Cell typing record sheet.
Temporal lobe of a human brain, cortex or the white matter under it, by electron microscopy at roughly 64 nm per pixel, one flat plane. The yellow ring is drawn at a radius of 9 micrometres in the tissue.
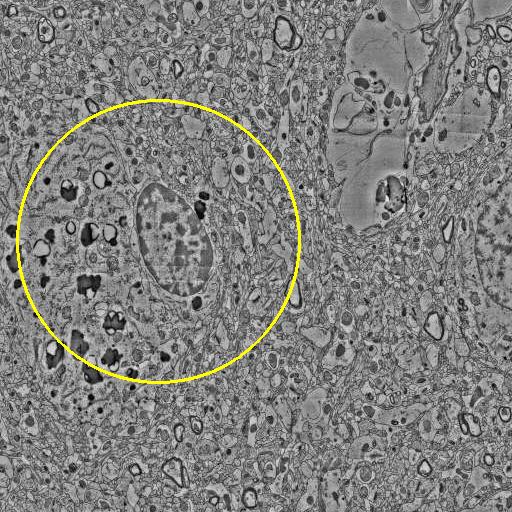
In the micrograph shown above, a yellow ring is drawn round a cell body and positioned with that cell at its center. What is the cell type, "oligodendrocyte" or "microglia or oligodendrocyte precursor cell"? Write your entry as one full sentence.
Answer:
The cell body at the center of the ring belongs to a microglial cell or oligodendrocyte precursor cell.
